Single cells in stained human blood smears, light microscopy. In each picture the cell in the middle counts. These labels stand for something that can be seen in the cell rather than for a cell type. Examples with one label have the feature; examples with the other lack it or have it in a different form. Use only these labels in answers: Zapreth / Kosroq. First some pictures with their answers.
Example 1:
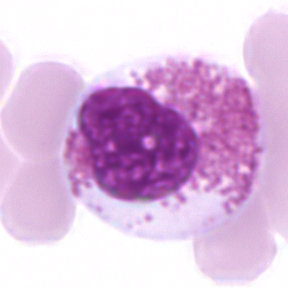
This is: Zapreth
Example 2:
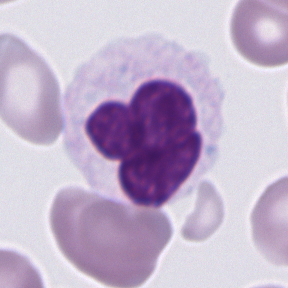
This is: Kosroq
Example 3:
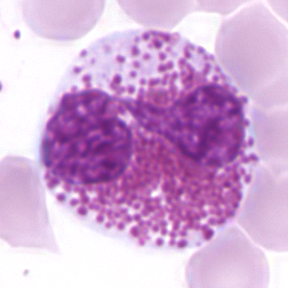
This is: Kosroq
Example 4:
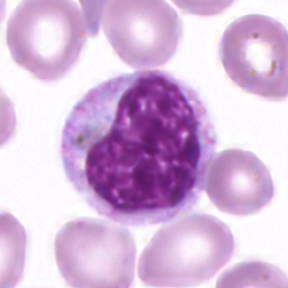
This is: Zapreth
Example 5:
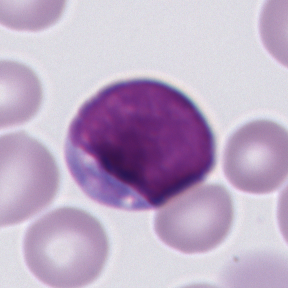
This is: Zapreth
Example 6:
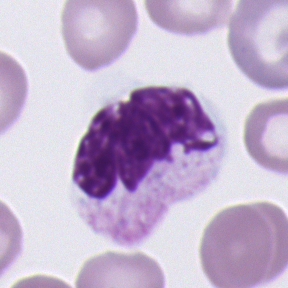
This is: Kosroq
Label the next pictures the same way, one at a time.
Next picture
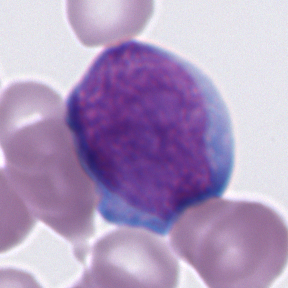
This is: Zapreth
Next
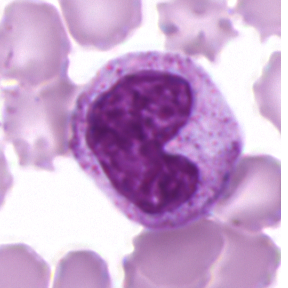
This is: Zapreth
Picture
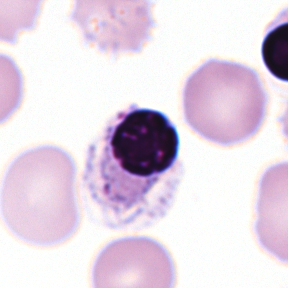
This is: Zapreth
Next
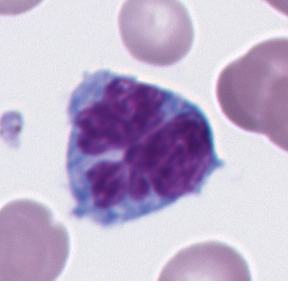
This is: Kosroq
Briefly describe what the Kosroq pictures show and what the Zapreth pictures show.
Kosroq: lobed nucleus; Zapreth: single compact nucleus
